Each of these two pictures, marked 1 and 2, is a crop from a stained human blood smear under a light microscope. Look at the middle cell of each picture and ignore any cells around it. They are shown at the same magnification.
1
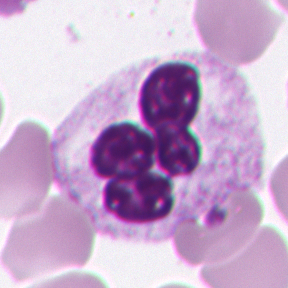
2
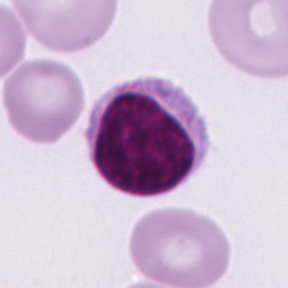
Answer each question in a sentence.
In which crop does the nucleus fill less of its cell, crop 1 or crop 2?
It is the cell in crop 1 that is filled less by its nucleus.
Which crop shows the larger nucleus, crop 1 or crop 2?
Larger is the nucleus in crop 1, at roughly 1.5 times the area of the other.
